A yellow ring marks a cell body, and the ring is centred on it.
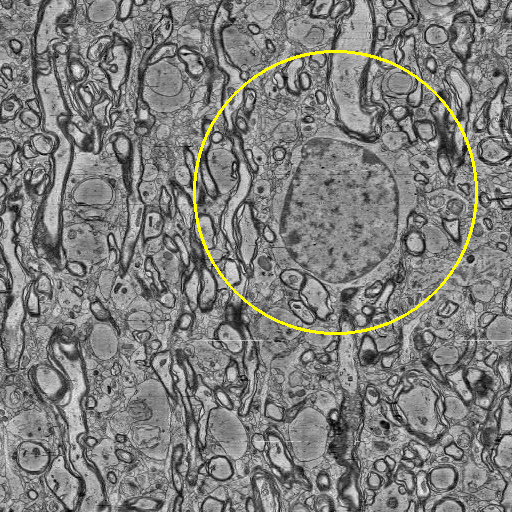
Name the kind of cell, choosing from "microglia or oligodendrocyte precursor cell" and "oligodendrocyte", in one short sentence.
The marked cell body belongs to a microglial cell or oligodendrocyte precursor cell.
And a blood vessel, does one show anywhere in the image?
No, a blood vessel is absent from this picture.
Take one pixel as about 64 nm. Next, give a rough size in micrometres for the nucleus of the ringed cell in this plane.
In this plane, approximately 10 by 7 micrometers.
